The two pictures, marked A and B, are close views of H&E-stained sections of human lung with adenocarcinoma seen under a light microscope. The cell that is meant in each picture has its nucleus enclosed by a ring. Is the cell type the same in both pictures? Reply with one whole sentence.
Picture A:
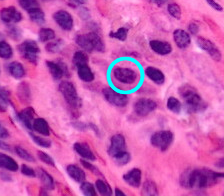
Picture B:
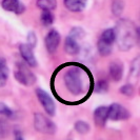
No, the types are not the same, since picture A shows a plasma cell and picture B a lymphocyte.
